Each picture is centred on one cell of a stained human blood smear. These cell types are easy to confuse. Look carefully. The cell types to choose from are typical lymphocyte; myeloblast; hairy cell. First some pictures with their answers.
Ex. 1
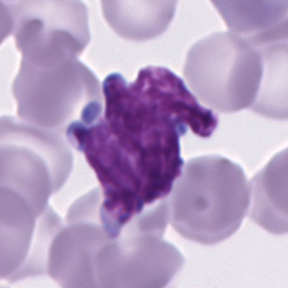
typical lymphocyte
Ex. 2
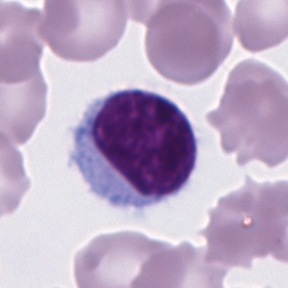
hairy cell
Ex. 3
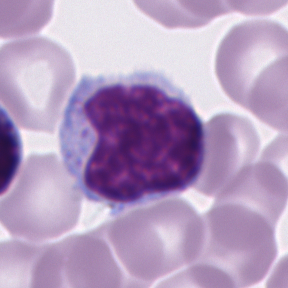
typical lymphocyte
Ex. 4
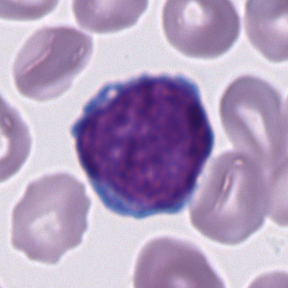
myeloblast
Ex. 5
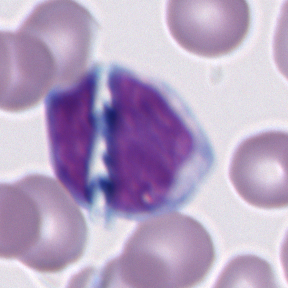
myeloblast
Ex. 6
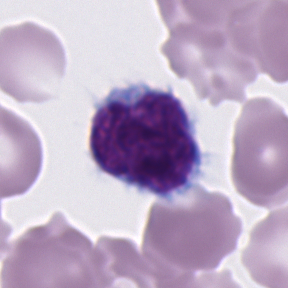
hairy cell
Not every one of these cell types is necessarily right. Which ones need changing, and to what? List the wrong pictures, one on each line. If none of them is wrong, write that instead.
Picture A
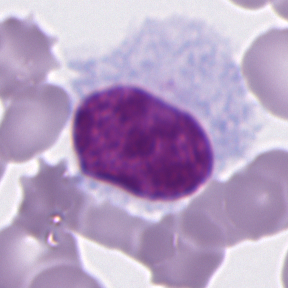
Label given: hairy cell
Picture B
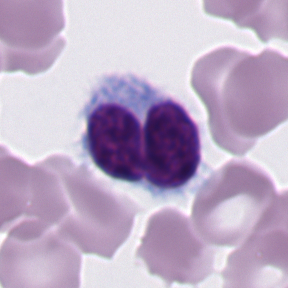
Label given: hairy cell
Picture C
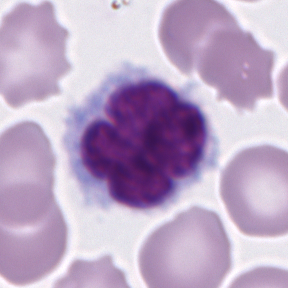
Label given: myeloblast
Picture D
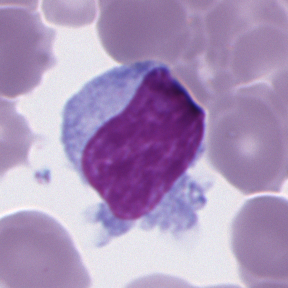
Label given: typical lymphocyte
C: not myeloblast but hairy cell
